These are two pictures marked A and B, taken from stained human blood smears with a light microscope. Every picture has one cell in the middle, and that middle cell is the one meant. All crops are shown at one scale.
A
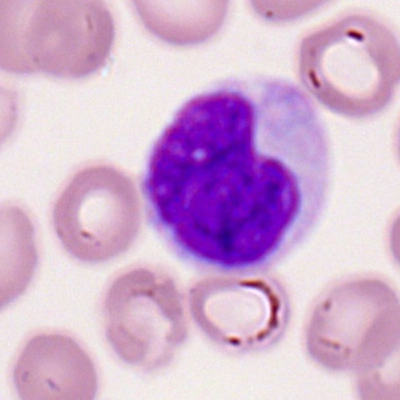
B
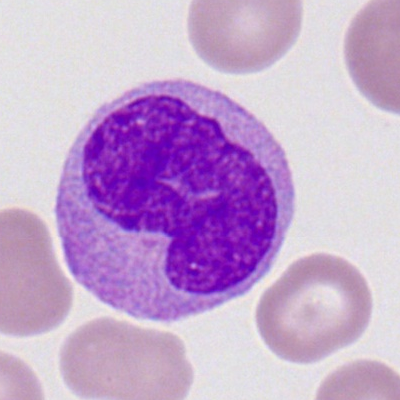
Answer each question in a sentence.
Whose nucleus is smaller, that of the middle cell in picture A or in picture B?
The nucleus in picture A is smaller; the one in picture B has about 1.5 times its area.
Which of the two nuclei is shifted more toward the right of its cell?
It is the nucleus in picture B that lies further toward the right of its cell.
